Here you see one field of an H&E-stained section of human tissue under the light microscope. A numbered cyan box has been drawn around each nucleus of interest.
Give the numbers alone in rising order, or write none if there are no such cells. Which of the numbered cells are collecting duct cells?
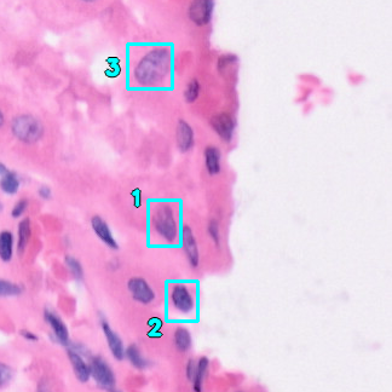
none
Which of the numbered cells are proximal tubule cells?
1, 3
